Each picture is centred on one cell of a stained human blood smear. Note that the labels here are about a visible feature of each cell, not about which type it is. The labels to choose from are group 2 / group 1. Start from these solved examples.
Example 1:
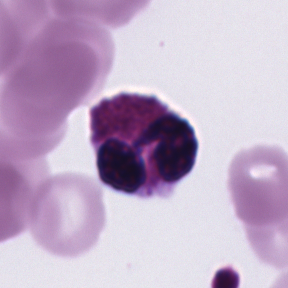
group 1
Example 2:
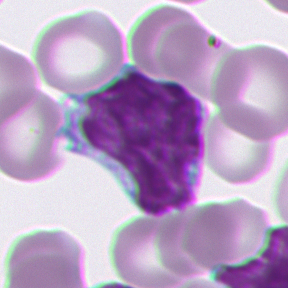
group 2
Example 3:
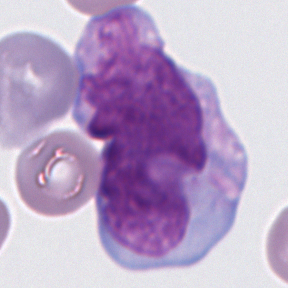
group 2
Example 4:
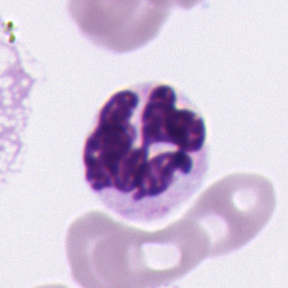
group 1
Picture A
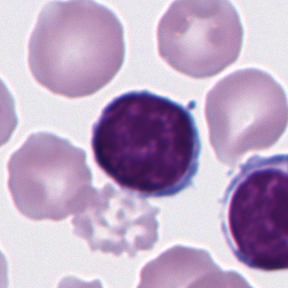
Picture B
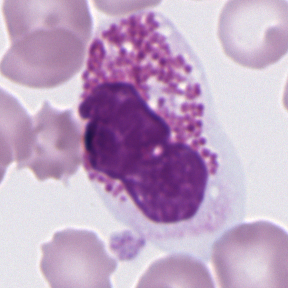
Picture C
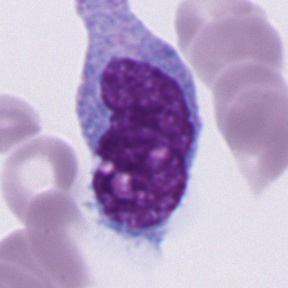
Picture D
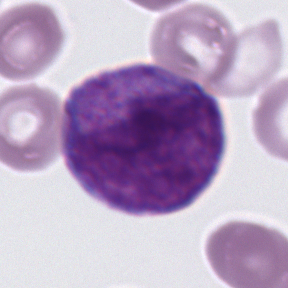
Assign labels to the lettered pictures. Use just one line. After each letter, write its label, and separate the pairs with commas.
A group 2, B group 1, C group 2, D group 1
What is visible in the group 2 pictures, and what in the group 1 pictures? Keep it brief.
In group 2: ragged outline or projections. In group 1: smooth outline.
